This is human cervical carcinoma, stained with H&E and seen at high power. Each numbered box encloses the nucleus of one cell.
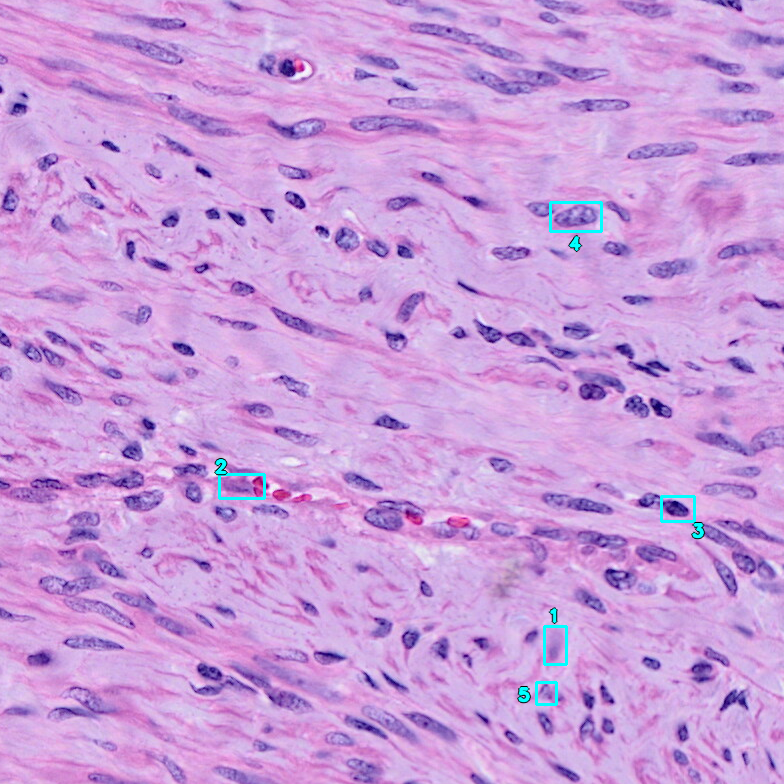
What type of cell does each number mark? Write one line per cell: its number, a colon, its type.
1: smooth muscle cell
2: endothelial cell
3: lymphocyte
4: smooth muscle cell
5: smooth muscle cell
